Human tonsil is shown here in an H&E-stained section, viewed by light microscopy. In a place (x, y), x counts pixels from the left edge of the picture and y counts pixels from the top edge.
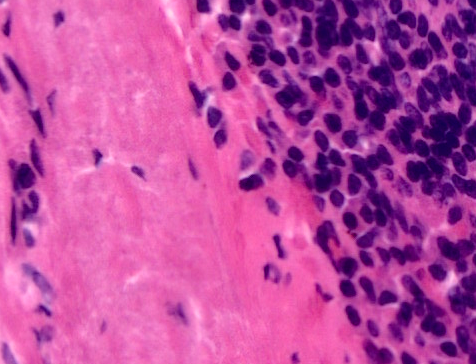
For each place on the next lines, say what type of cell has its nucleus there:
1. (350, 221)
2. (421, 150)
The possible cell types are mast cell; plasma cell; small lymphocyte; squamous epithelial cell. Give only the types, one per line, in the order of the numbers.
plasma cell
small lymphocyte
